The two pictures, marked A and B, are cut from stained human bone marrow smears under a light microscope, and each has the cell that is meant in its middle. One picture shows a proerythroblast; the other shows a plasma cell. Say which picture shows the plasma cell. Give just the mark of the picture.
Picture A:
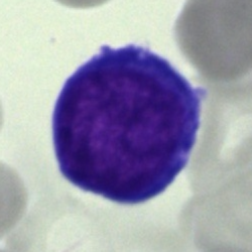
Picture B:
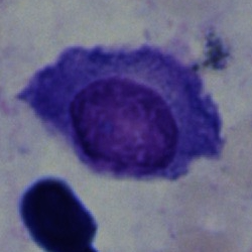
B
